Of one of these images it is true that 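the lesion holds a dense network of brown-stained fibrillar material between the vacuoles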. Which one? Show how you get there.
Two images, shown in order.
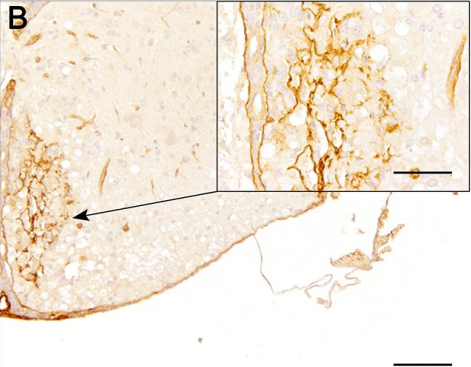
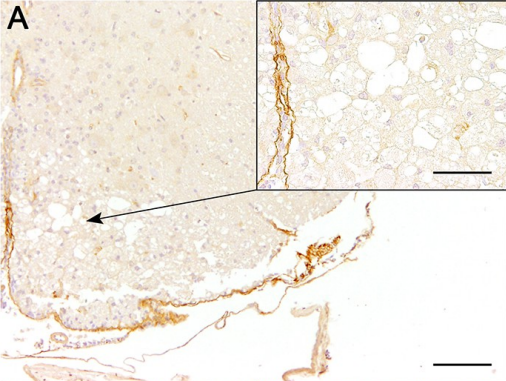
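Second image: brown stain is confined to a few vessel walls and the surface, the vacuolated tissue between them is nearly unstained. First image: a dense meshwork of brown strands fills the vacuolated area in the overview and the inset. The answer: the first image.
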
